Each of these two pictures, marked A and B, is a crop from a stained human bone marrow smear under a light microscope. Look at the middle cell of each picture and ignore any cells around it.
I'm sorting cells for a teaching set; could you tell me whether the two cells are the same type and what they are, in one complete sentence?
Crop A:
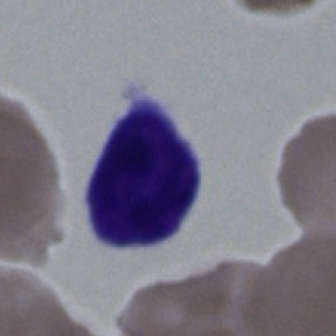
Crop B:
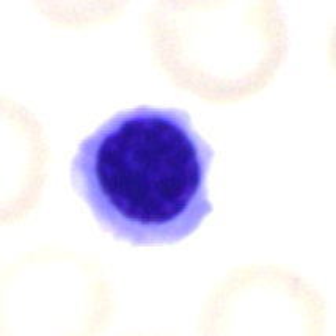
No, crop A shows a lymphocyte and crop B shows an erythroblast.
